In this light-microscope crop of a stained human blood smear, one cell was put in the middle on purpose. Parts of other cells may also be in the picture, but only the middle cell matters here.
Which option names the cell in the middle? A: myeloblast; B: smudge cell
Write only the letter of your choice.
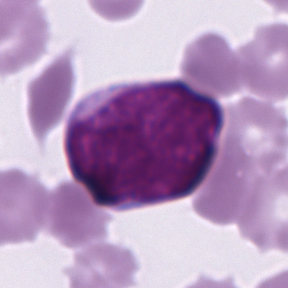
A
